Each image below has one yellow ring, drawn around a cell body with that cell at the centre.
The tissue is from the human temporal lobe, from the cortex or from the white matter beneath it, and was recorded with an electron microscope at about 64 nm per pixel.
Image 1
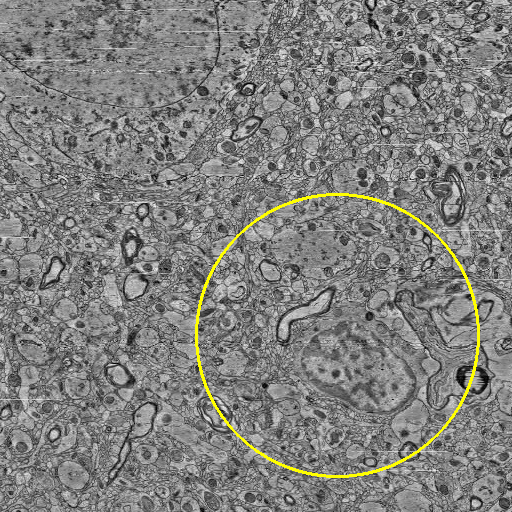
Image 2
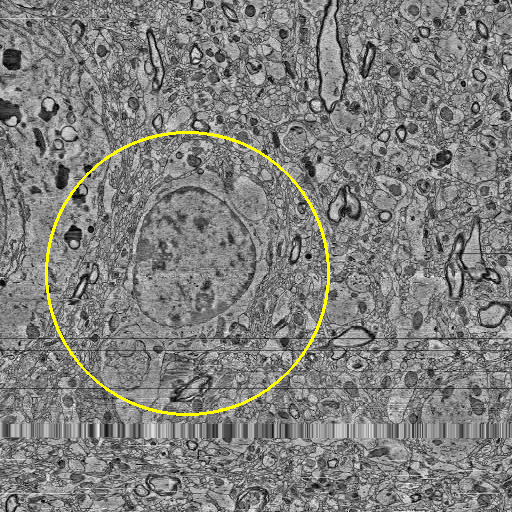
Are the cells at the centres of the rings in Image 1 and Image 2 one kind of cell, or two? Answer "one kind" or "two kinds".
two kinds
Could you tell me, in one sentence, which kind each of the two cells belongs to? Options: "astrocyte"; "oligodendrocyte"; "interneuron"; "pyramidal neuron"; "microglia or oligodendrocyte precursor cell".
At the centre of the first ring sits an oligodendrocyte, and at the centre of the second sits a microglial cell or oligodendrocyte precursor cell.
